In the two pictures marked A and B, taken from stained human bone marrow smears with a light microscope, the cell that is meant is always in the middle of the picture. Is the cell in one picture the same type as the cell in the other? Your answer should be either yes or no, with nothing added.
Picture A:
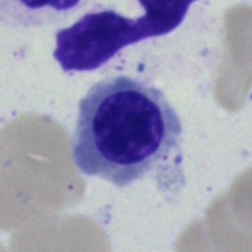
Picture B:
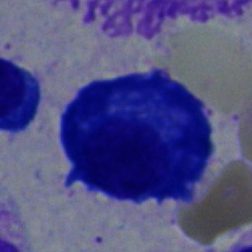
no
